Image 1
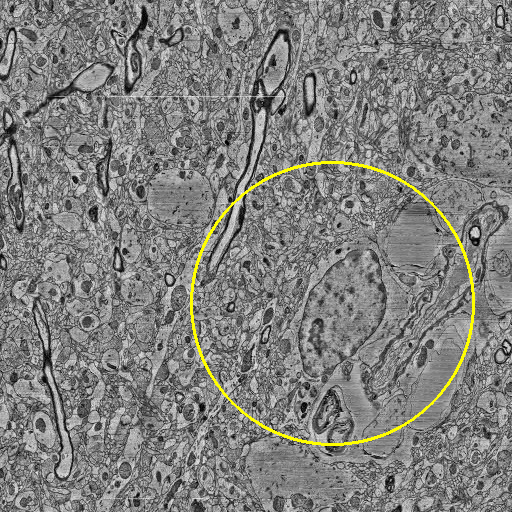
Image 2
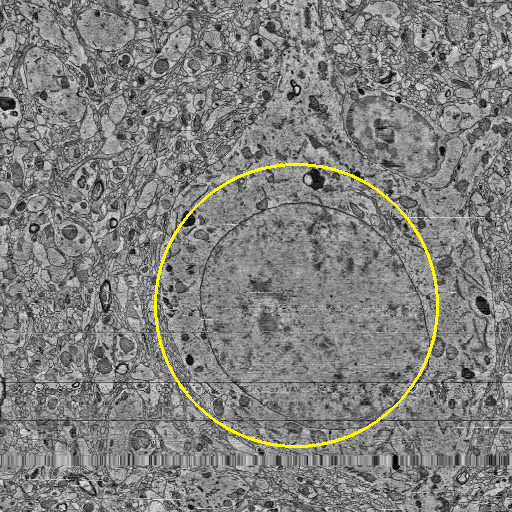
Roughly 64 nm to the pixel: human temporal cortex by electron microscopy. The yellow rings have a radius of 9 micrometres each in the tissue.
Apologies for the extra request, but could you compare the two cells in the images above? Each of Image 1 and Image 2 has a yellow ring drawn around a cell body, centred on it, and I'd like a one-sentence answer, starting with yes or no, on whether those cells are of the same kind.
No, the two cells are of two kinds.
